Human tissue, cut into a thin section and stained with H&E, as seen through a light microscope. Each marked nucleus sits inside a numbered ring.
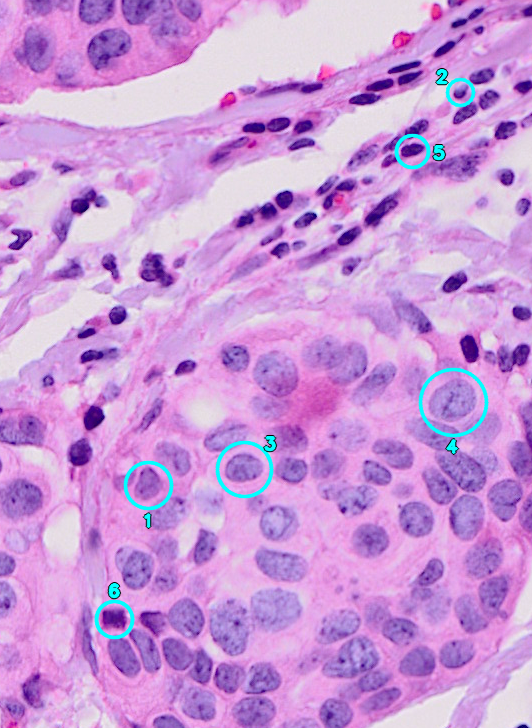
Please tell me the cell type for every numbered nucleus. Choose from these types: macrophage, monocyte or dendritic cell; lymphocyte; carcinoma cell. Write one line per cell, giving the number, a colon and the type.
1: carcinoma cell
2: lymphocyte
3: carcinoma cell
4: carcinoma cell
5: lymphocyte
6: carcinoma cell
